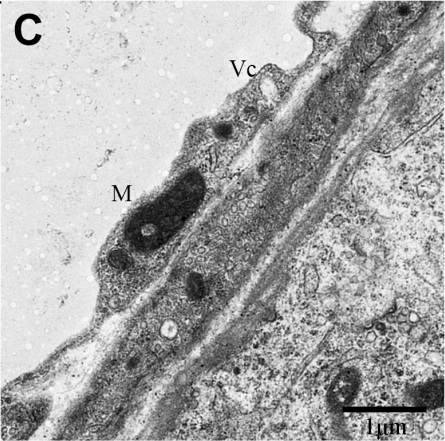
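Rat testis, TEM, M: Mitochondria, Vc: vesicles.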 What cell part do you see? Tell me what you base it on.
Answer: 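A thin cell process lying along the tubule wall widens into a local bulge. The bulge contains a dark elongated mitochondrion and small vesicles.
Podom.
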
